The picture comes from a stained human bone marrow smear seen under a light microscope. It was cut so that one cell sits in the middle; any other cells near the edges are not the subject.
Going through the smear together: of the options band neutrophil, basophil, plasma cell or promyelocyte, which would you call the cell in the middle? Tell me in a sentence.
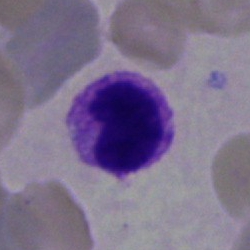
The middle cell in this particular crop is a basophil.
